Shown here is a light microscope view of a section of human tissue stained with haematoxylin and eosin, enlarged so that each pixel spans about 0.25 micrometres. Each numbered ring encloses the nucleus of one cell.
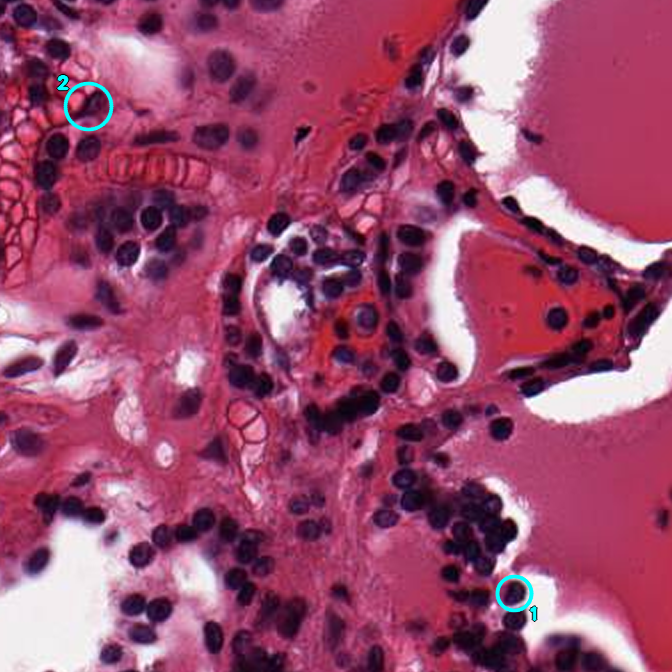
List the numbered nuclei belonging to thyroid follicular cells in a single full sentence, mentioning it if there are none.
The only nucleus belonging to a thyroid follicular cell is nucleus 1.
